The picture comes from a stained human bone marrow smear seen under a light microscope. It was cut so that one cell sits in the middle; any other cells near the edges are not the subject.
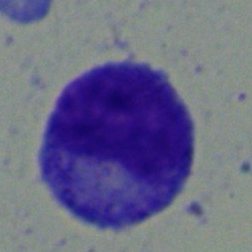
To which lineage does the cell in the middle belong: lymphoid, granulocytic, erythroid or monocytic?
granulocytic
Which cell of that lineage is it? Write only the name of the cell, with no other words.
myelocyte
